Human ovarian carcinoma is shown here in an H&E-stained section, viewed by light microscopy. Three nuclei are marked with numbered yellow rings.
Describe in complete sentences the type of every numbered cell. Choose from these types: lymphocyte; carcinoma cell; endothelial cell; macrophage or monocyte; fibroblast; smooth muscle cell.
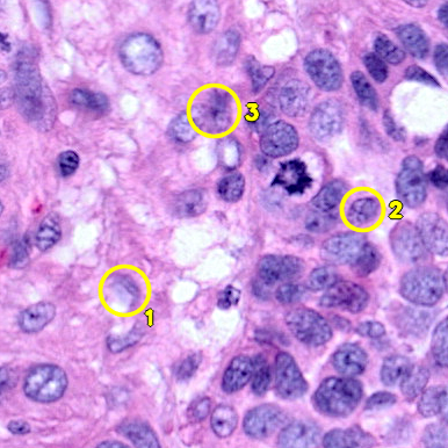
Cell 1 is a fibroblast, cell 2 is a carcinoma cell and cell 3 is a fibroblast.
